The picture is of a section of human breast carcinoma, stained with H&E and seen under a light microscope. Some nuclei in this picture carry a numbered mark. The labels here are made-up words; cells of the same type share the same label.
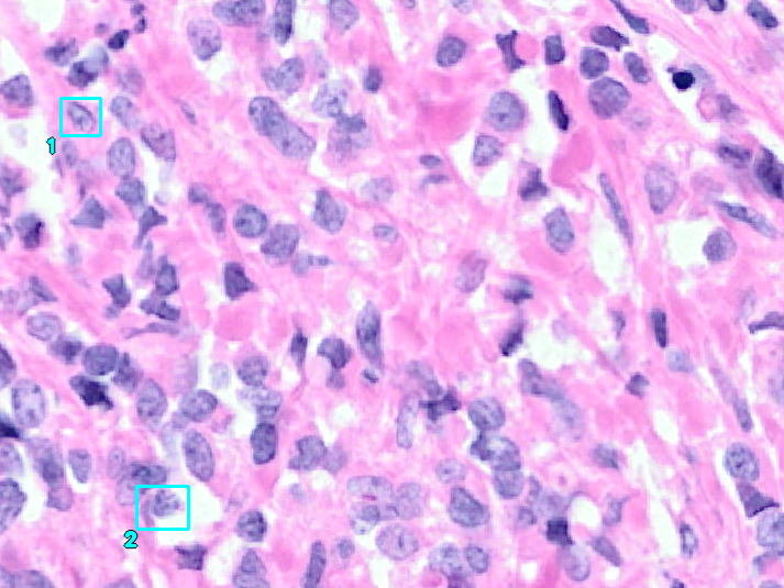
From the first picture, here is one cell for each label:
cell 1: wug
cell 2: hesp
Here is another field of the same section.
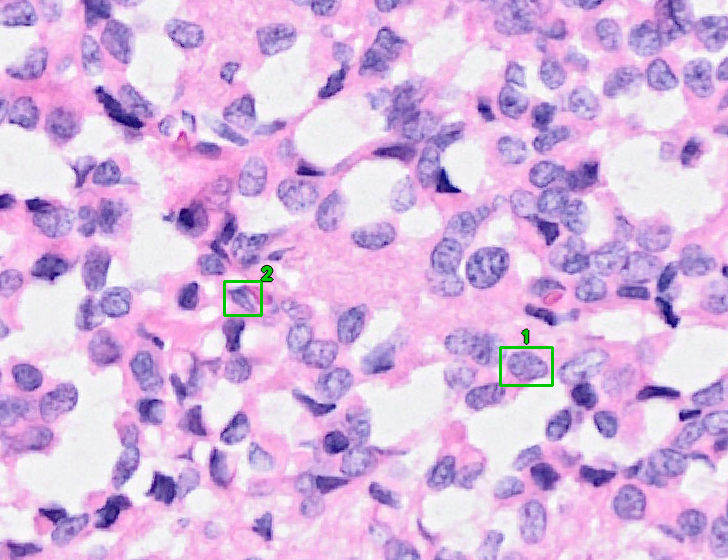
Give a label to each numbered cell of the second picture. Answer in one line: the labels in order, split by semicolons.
hesp; wug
